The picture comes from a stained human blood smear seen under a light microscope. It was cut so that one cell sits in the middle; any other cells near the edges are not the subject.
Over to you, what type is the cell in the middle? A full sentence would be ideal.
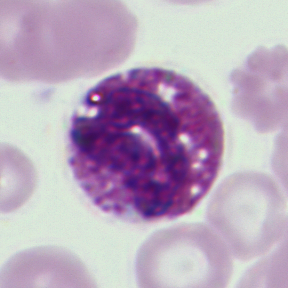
The cell shown in the center of this light-microscope crop is an eosinophil.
